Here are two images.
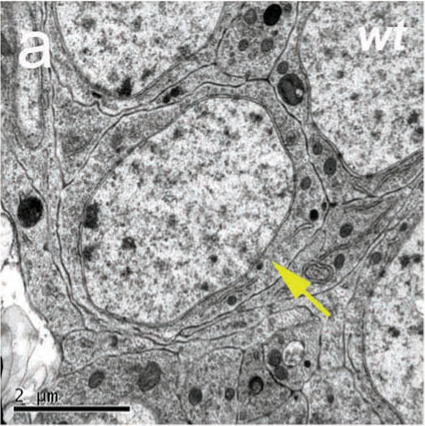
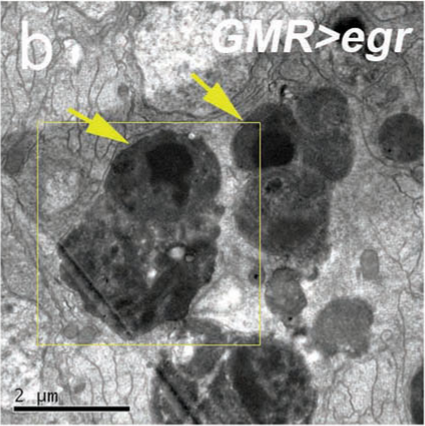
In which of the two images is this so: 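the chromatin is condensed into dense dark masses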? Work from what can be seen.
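Second image: compact bodies with very dark, electron-dense patches. First image: a large nucleus with evenly dispersed, finely granular chromatin.
Answer: the second image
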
